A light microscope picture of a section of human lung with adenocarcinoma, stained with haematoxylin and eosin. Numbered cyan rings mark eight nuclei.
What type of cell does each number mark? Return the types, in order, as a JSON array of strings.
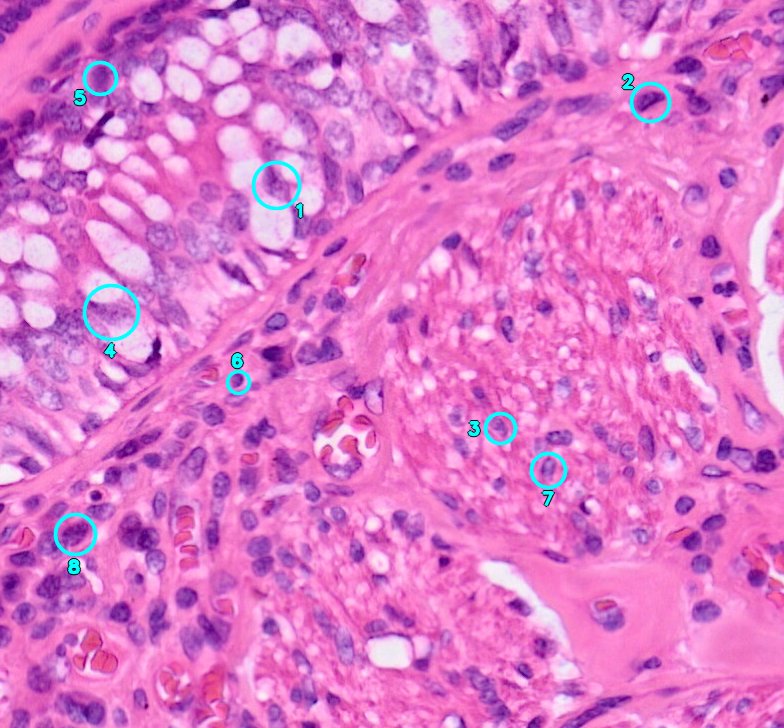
["ciliated epithelial cell", "plasma cell", "smooth muscle cell or pericyte", "ciliated epithelial cell", "ciliated epithelial cell", "lymphocyte", "smooth muscle cell or pericyte", "plasma cell"]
